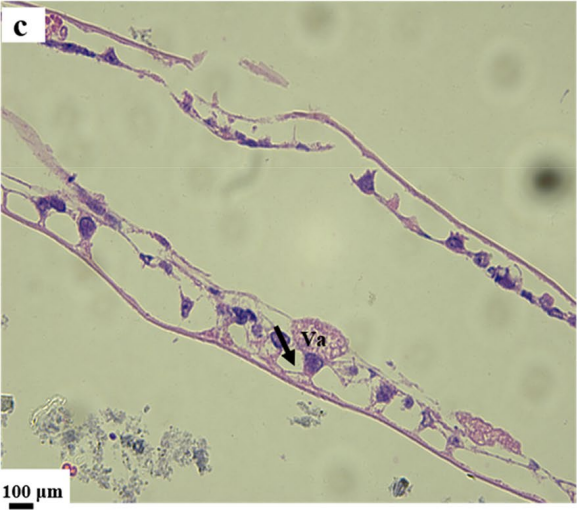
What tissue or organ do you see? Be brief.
Gills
